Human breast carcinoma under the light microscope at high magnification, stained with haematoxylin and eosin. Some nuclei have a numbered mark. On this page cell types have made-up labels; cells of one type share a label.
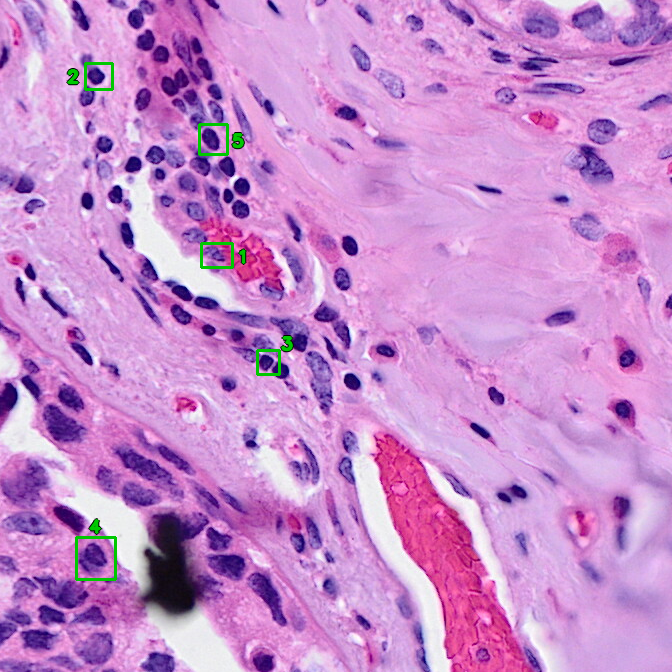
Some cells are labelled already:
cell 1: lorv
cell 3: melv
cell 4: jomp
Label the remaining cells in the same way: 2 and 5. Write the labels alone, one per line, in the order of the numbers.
melv
melv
